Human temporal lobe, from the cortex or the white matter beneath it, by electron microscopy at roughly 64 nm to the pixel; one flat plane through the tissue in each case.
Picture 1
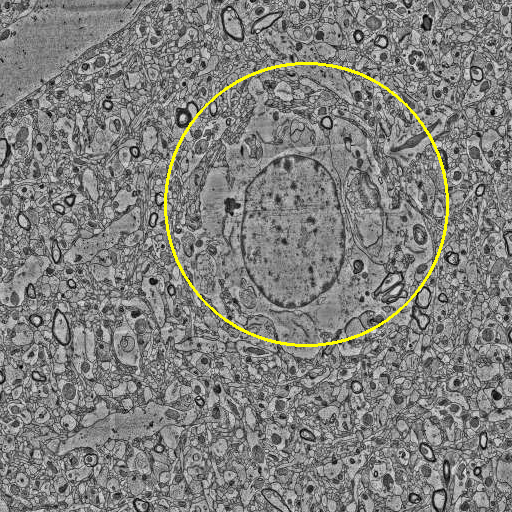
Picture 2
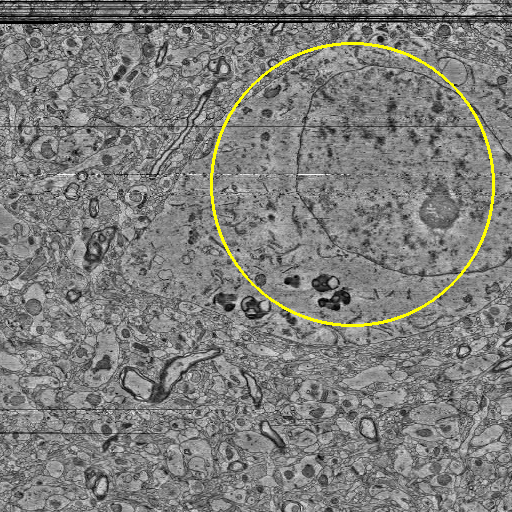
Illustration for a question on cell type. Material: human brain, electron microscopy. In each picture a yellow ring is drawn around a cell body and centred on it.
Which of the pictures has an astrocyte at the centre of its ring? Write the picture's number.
1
